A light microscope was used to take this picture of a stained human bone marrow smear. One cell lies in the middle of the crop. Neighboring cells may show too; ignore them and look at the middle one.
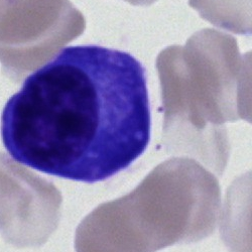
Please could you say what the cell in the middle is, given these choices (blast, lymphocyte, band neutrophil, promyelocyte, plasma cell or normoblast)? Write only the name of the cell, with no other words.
plasma cell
